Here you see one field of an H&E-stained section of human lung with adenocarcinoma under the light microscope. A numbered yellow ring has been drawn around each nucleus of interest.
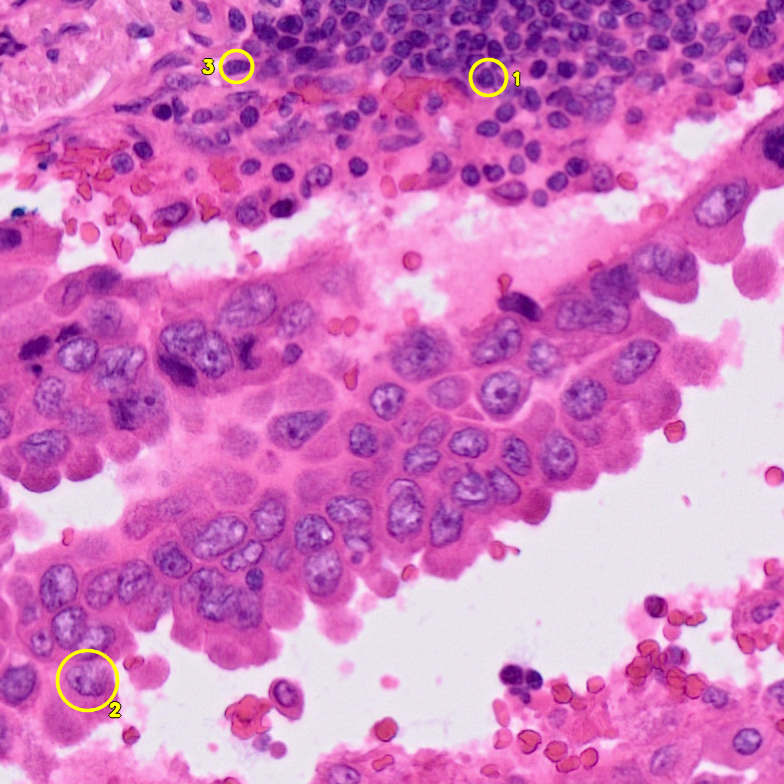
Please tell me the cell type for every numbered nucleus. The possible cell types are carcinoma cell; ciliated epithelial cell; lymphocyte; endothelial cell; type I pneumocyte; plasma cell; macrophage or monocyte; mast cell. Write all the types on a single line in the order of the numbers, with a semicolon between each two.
lymphocyte; carcinoma cell; lymphocyte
